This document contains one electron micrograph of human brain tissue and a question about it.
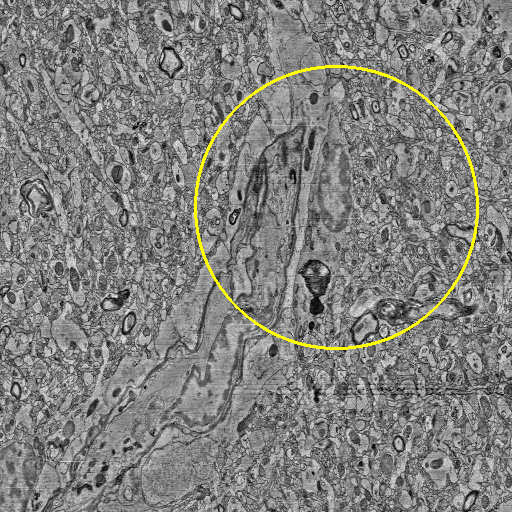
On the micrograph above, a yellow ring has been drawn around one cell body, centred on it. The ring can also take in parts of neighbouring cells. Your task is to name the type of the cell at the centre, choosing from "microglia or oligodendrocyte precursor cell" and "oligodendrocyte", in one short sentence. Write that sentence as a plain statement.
Here the ring is centred on an oligodendrocyte.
